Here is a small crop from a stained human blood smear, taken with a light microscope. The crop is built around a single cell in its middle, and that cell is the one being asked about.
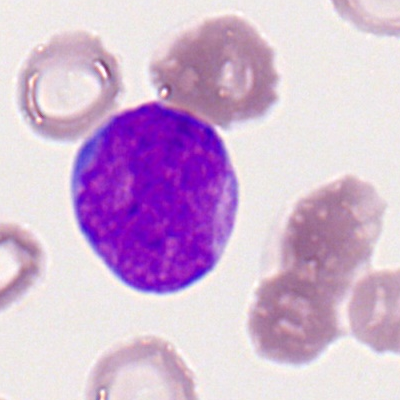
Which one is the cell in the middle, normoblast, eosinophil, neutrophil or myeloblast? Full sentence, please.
Among the cells in view, the one in the middle is a myeloblast.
